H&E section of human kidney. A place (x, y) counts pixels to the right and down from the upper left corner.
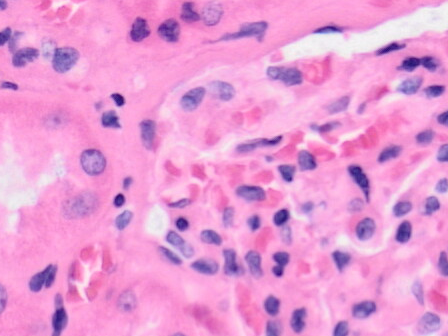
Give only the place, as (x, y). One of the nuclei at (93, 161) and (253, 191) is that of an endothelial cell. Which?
(253, 191)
